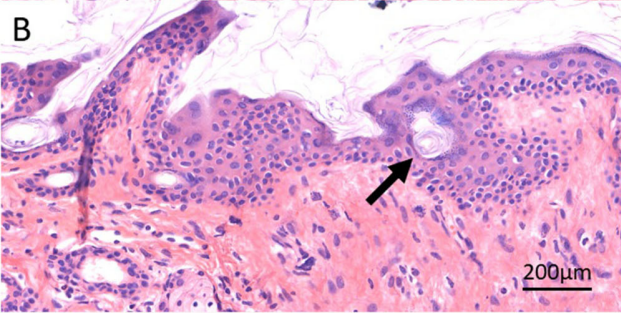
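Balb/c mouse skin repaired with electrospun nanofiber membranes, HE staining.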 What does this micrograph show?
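The epidermis is a stratified layer of keratinocytes with dark purple nuclei, thick and irregular in outline, with flaky pale keratin lifting from its surface. Below it the dermis is pink fibrous tissue with scattered small nuclei. Near the surface lies a small round hair-follicle-like structure of concentric epithelial layers around a pale centre, joined to the epidermis. Further to the left, oblique strands and small rings of epithelium run down into the dermis.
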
